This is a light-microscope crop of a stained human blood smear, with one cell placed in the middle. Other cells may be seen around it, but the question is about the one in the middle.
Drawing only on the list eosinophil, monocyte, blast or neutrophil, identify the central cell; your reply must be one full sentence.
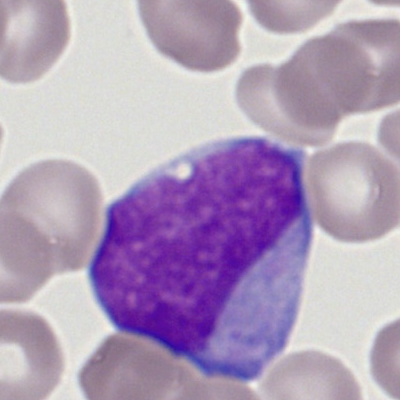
The cell sitting right in the middle is a blast.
